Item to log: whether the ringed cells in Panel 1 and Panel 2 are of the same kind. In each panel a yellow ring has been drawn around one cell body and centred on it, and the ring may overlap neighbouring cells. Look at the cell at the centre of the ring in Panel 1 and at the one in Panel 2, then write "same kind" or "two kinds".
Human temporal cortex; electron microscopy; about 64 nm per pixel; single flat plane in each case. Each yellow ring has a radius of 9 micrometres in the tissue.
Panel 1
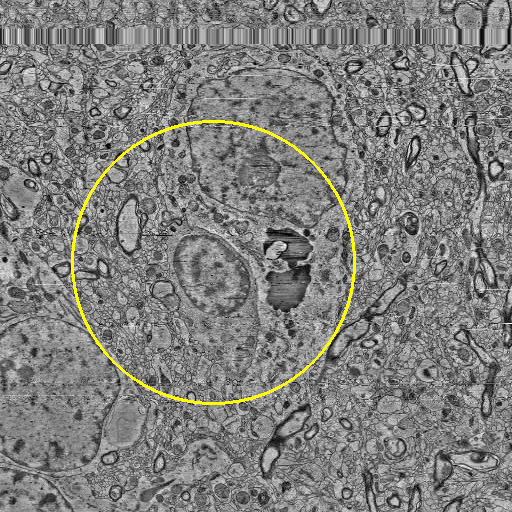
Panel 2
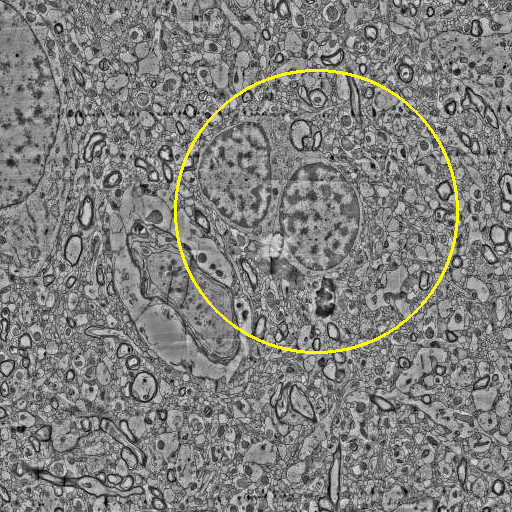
same kind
